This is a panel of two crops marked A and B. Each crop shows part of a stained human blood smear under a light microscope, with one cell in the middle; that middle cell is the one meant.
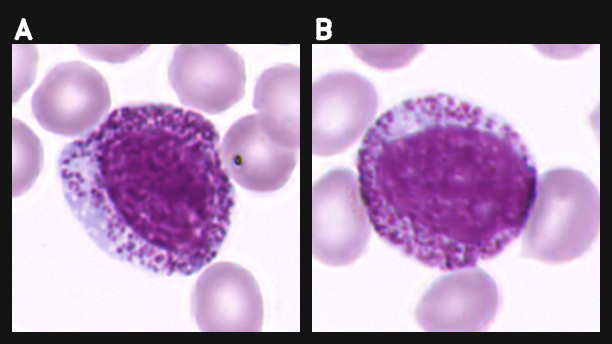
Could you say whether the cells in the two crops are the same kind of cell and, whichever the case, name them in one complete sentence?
Yes, the pair of crops both show myelocytes.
